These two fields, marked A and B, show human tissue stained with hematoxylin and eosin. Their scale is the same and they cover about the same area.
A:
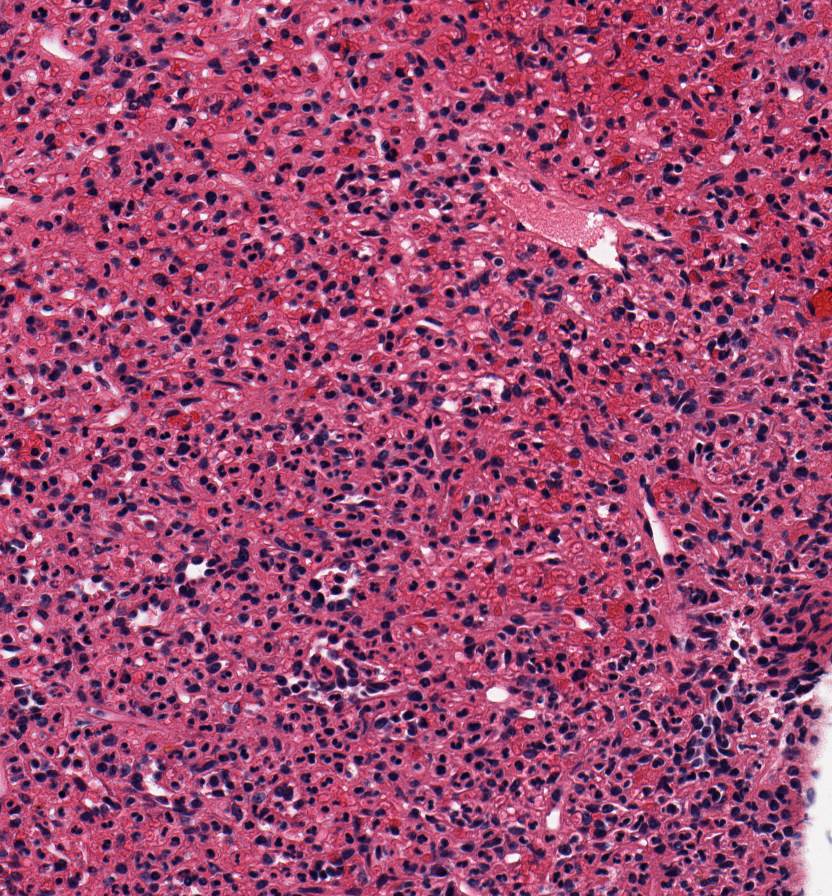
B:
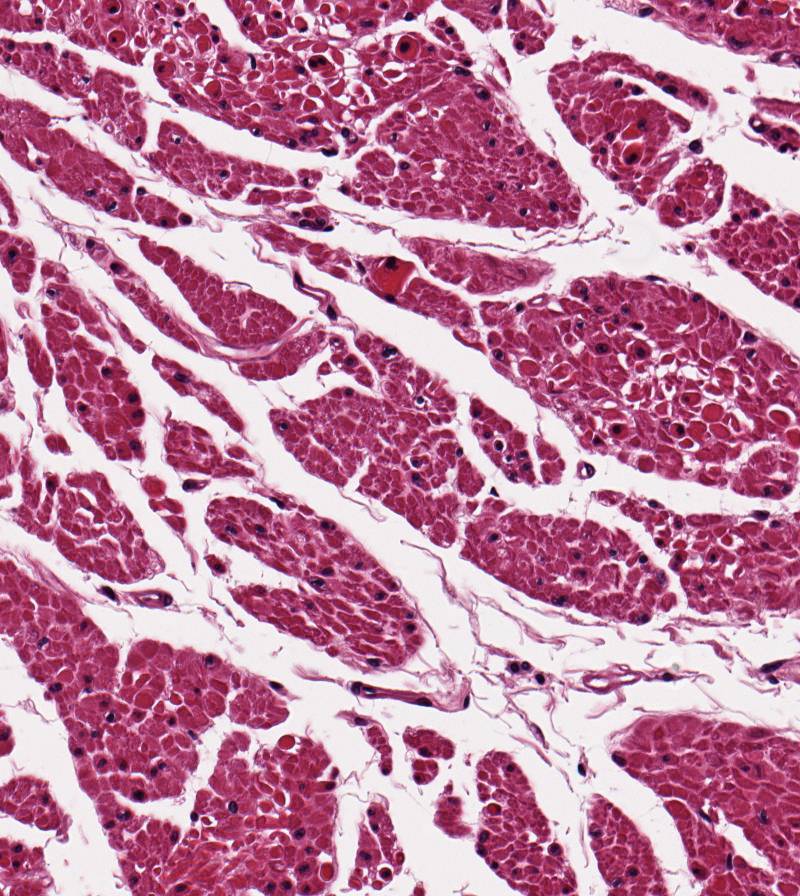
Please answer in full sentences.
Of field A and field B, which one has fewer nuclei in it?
It is field B that has fewer nuclei in it.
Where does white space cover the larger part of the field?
Unstained space takes up more of field B than of field A.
